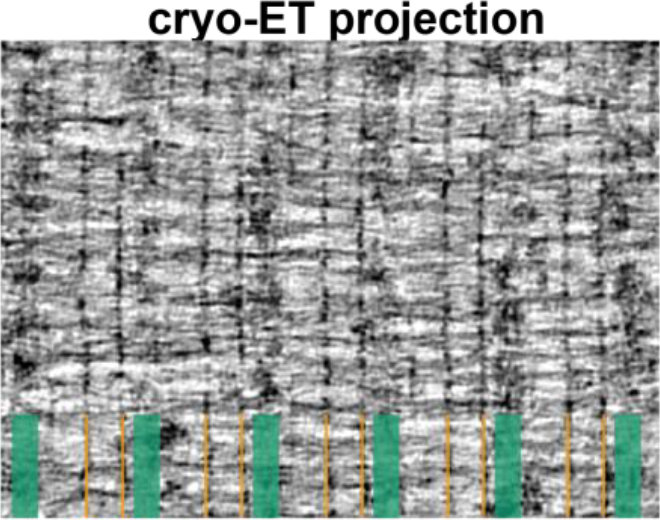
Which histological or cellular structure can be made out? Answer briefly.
Rootlet.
